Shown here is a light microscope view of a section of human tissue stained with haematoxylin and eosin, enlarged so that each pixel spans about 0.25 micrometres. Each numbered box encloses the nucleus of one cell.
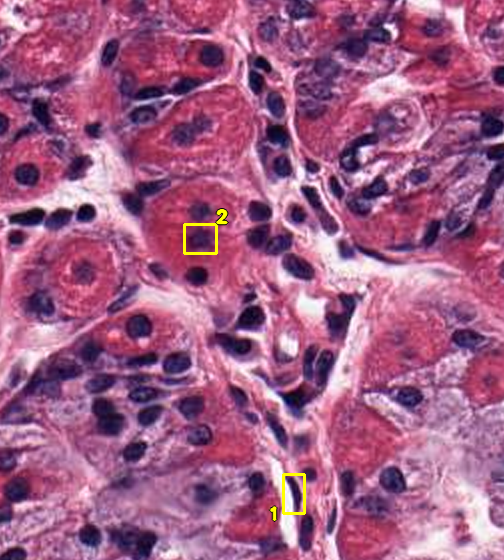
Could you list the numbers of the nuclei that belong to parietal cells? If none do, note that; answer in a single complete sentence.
Among the nuclei given numbers, only the one numbered 2 is within a parietal cell.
